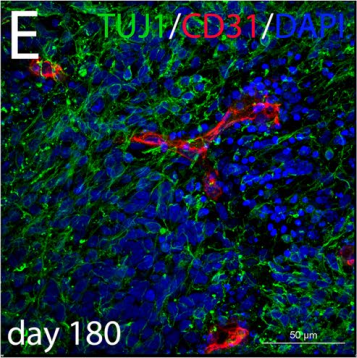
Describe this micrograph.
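This section of neural tissue shows a dense meshwork of fine green neuronal processes running between closely packed blue nuclei. Scattered through it are red capillaries, seen as narrow tubes and small rings in cross-section. The green fibres run right up to and around the red vessel walls, so the capillaries lie embedded within the neuronal network.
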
